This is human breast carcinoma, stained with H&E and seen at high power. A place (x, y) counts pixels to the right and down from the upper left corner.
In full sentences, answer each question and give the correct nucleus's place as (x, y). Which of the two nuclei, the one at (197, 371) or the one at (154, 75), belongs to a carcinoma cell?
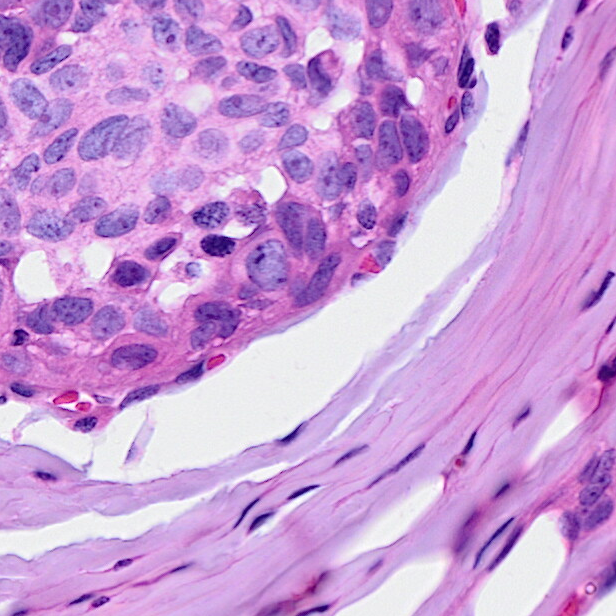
The nucleus at (154, 75) is identified as belonging to a carcinoma cell.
